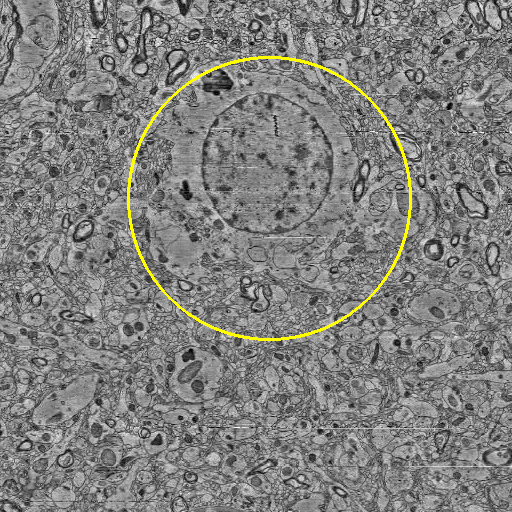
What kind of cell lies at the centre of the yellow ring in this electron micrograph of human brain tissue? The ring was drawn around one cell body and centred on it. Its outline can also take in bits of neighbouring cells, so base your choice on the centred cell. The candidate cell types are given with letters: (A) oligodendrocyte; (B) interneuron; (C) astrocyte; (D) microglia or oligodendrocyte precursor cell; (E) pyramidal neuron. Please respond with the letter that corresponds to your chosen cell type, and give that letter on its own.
C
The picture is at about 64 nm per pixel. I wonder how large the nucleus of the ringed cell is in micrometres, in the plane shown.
The nucleus is approximately 9 micrometers across in this plane.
